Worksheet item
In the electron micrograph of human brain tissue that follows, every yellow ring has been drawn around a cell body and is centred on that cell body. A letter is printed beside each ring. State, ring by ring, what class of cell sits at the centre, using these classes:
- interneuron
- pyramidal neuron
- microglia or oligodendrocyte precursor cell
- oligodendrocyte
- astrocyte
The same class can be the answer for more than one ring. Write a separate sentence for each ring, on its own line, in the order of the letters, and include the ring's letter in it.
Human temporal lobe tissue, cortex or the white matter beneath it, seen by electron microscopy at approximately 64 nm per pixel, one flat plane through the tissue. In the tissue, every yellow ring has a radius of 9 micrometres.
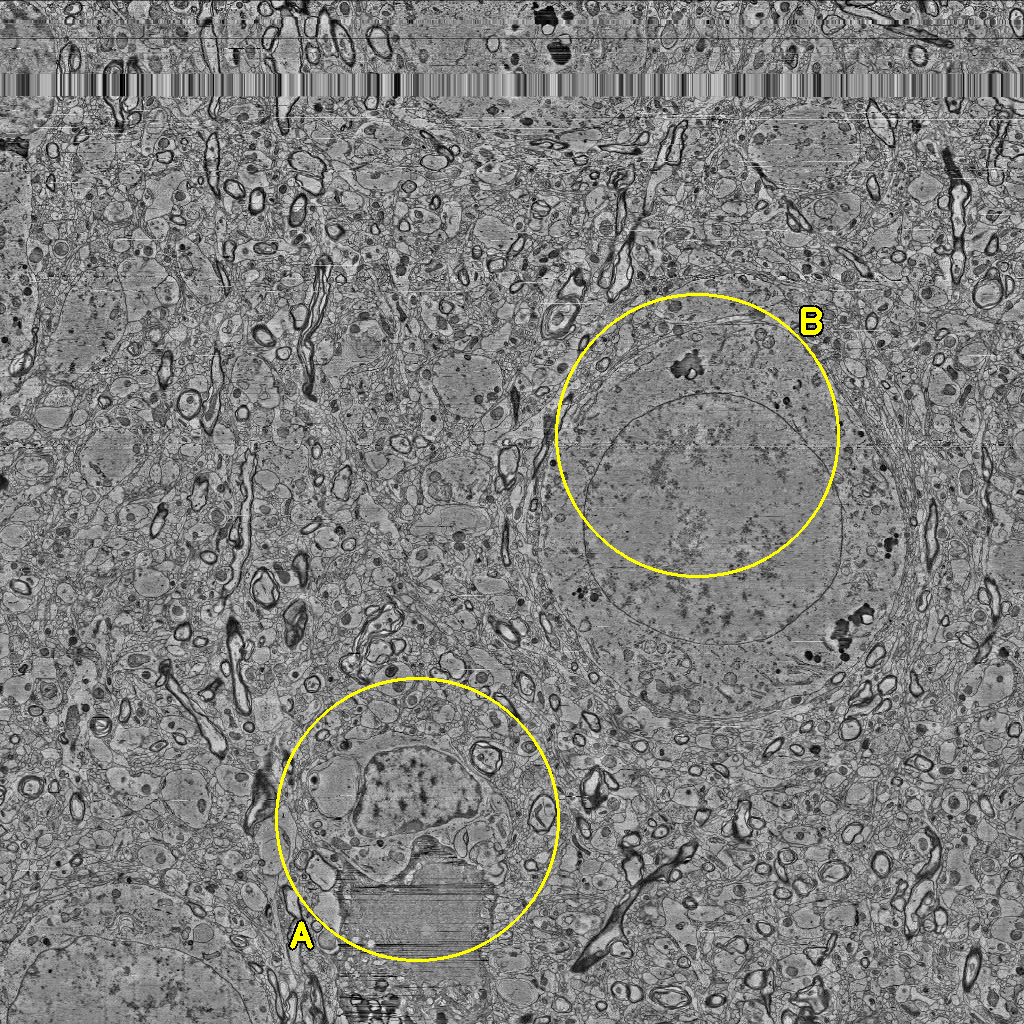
At the centre of ring A sits a microglial cell or oligodendrocyte precursor cell.
At the centre of ring B sits a pyramidal neuron.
